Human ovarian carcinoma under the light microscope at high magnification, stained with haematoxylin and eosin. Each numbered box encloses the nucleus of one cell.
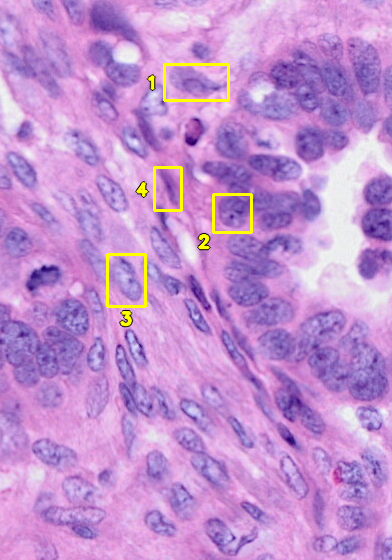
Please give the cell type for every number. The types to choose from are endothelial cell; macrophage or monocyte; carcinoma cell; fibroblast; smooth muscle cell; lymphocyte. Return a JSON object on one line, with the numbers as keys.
{"1": "fibroblast", "2": "carcinoma cell", "3": "fibroblast", "4": "fibroblast"}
